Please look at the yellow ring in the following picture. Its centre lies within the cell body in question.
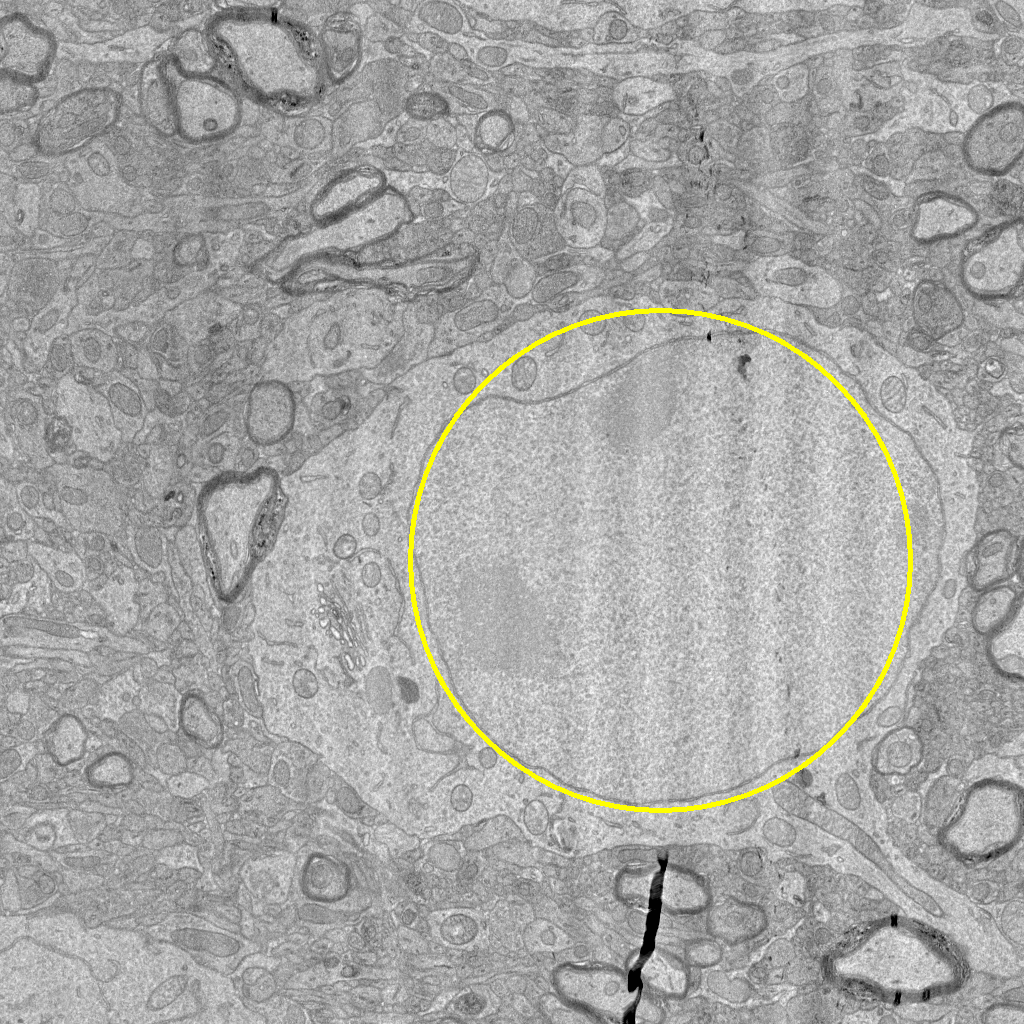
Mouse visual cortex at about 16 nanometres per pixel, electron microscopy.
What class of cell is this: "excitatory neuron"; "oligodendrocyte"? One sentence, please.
The centre of the ring lies in the cell body of an excitatory neuron.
